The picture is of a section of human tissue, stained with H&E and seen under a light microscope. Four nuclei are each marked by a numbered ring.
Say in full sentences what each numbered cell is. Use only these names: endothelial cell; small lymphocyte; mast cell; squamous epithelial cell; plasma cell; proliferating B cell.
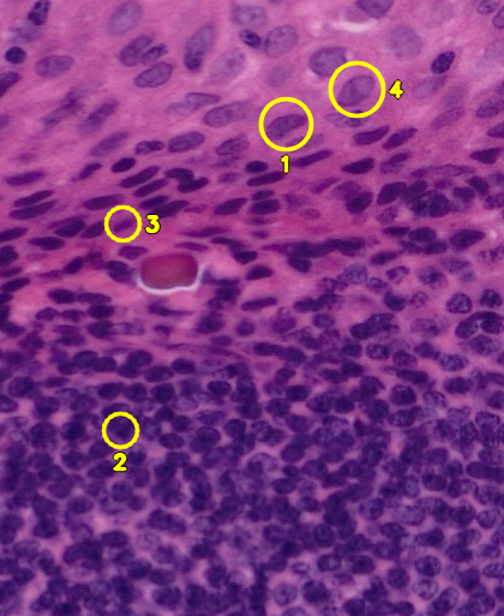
Cells 1, 3 and 4 are squamous epithelial cells. Cell 2 is a small lymphocyte.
